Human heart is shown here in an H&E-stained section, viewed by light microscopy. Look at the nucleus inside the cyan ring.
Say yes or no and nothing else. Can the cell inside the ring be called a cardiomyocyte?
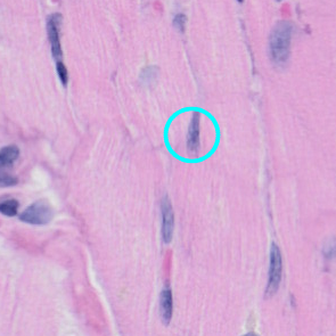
no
